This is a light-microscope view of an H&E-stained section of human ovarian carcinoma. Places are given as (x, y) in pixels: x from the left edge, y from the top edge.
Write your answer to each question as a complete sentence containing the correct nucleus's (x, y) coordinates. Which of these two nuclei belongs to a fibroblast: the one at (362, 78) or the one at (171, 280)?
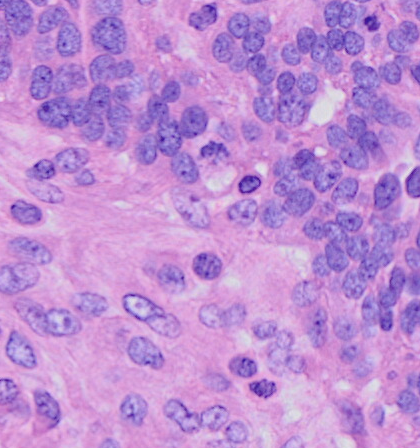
Among the two nuclei, the one lying at (171, 280) is part of a fibroblast.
